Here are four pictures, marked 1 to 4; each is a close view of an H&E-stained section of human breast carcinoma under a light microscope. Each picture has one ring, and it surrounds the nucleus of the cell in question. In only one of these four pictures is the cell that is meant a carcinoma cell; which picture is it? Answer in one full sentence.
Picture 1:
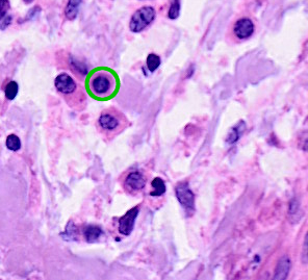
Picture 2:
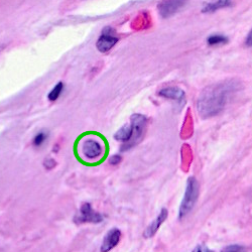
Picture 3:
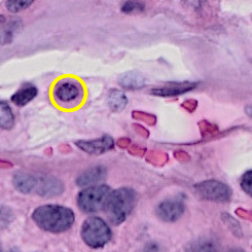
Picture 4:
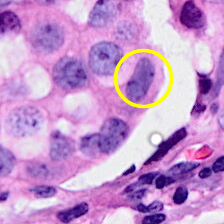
Picture 4 is the one that shows the carcinoma cell.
